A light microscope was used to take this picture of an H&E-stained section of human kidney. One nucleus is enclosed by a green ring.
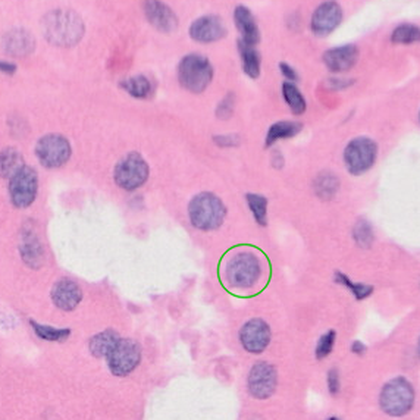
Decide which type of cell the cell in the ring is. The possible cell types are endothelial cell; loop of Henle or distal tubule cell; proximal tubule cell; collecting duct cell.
loop of Henle or distal tubule cell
